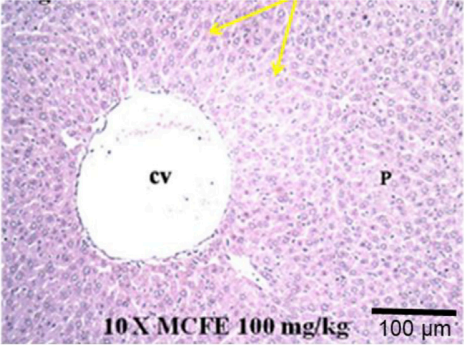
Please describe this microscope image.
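This is liver with a central vein surrounded by parenchyma of hepatocytes. The central vein is a large, round, empty lumen lined by a thin wall with a few flat nuclei. Hepatocytes are polygonal cells with pink cytoplasm and round central nuclei, arranged in cords that run out from the vein, with narrow pale spaces between the cords.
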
